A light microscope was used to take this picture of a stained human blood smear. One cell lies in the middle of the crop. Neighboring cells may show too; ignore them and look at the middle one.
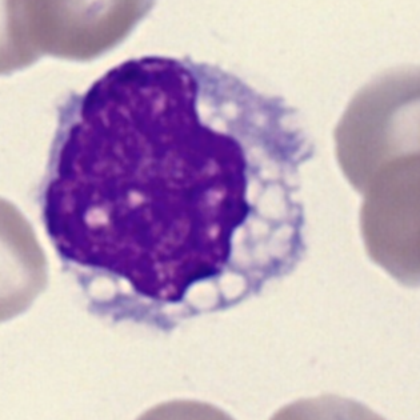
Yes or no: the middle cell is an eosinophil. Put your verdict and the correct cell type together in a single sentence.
No, what is seen at the centre is a monocyte instead of an eosinophil.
